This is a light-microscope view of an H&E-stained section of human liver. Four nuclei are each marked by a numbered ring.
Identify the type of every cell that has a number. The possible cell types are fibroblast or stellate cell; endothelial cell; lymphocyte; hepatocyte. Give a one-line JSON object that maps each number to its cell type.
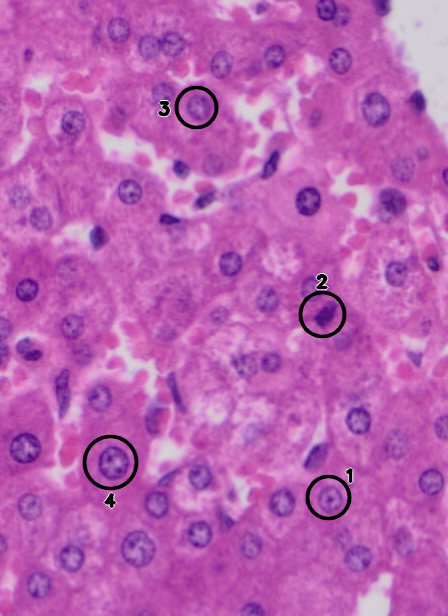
{"1": "hepatocyte", "2": "fibroblast or stellate cell", "3": "hepatocyte", "4": "hepatocyte"}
